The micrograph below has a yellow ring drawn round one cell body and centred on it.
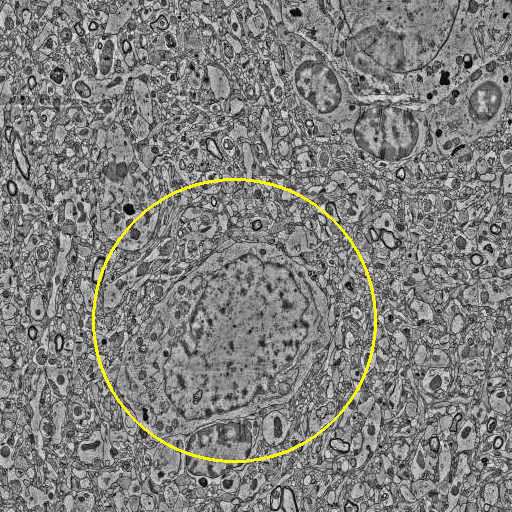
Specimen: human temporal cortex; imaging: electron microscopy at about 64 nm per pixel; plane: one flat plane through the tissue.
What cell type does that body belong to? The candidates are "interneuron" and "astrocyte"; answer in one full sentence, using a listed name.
This is an interneuron, the cell whose body lies at the centre of the ring.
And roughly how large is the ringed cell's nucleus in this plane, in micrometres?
Approximately 12 by 7 micrometers in this plane.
